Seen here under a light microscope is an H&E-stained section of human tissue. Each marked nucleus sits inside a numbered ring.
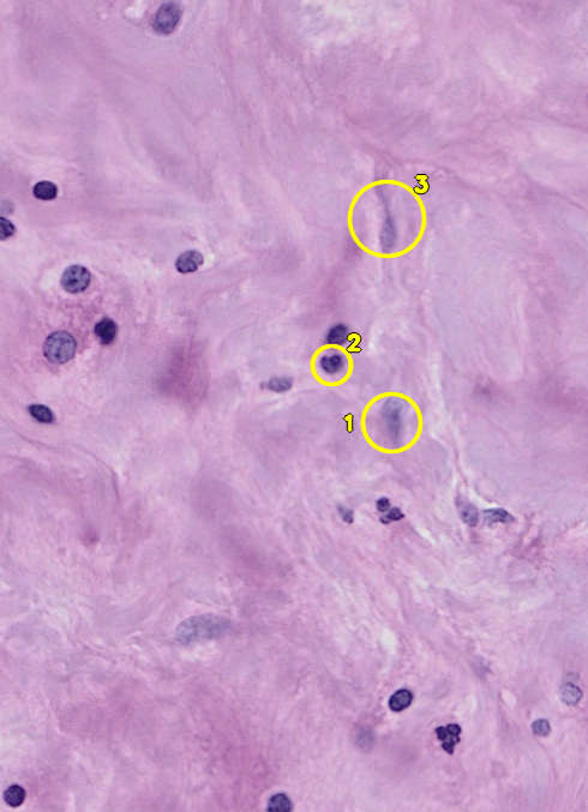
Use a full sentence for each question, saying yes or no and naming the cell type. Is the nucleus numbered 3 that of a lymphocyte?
No, cell 3 is not a lymphocyte; it is a fibroblast.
